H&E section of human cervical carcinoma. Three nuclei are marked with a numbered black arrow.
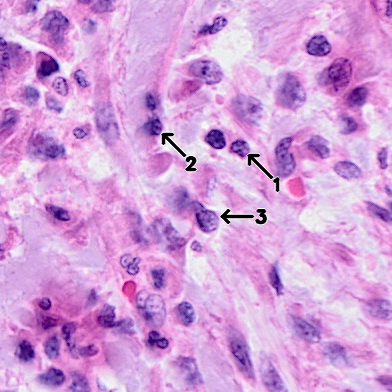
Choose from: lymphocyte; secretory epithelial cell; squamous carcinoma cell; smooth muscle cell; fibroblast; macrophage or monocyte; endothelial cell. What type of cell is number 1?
lymphocyte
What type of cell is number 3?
macrophage or monocyte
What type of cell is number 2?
lymphocyte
